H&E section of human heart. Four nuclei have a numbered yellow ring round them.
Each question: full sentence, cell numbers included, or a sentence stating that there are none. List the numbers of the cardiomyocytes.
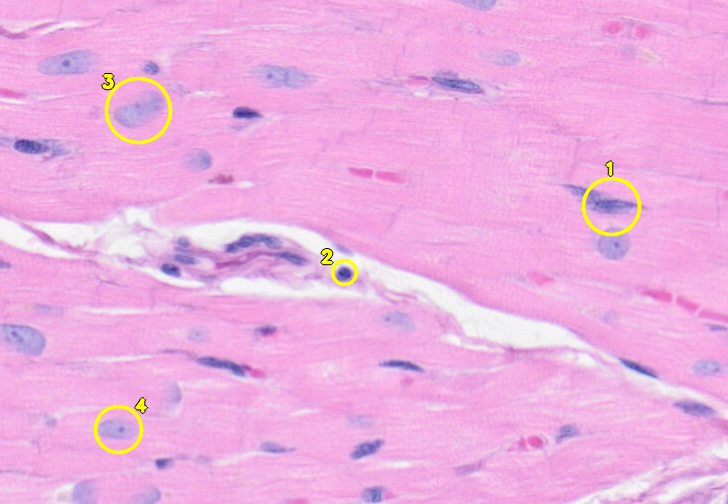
When it comes to cells 3 and 4, they are cardiomyocytes.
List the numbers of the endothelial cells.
Cell number 1 alone is an endothelial cell; the rest are not.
